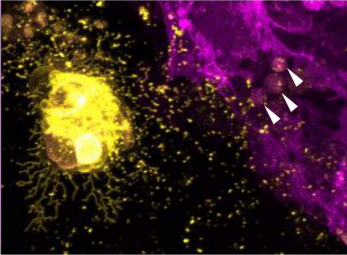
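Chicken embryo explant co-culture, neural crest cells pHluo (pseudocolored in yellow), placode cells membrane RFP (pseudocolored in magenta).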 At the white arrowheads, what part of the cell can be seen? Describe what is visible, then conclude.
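Arrowheads point to small round ring-shaped structures inside a magenta cell.
Conclusion: intra-cytoplasmic vesicular structures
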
